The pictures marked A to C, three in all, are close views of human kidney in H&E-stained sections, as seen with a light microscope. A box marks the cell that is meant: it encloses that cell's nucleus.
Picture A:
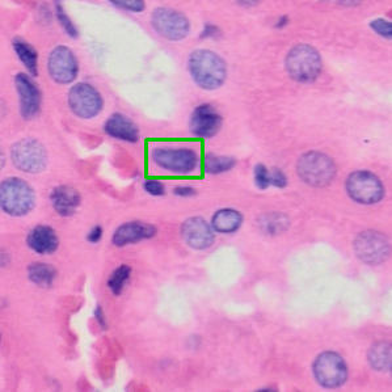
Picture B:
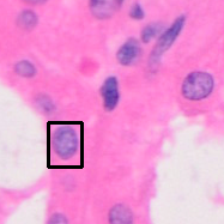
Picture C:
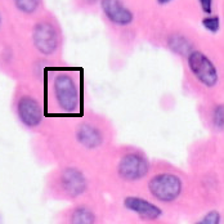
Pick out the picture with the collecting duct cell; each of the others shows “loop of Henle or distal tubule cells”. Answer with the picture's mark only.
A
